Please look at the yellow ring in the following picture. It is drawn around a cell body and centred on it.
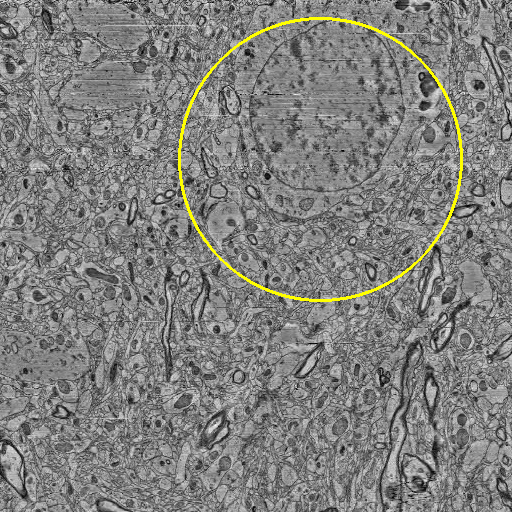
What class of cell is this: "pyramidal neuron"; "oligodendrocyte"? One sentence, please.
The ring surrounds the cell body of a pyramidal neuron.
